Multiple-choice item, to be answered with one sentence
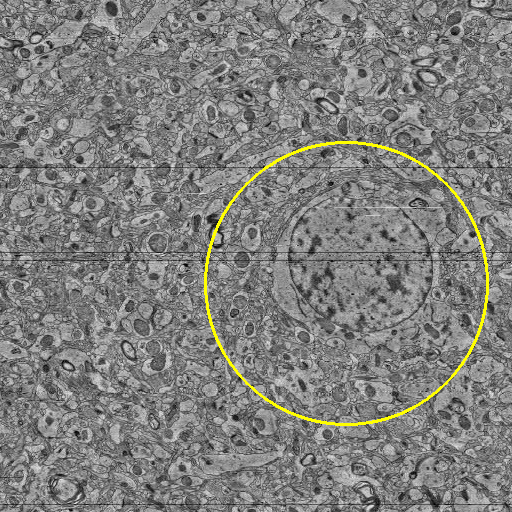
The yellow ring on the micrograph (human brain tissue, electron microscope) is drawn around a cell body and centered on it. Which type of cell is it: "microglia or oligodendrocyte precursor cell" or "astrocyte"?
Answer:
The ring is centered on an astrocyte.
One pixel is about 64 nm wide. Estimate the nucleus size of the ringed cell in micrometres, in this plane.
Roughly 9 micrometres across, measured in this plane.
